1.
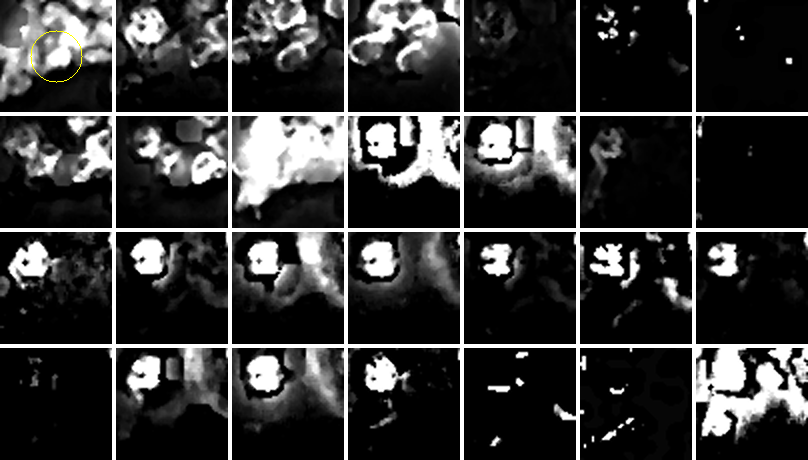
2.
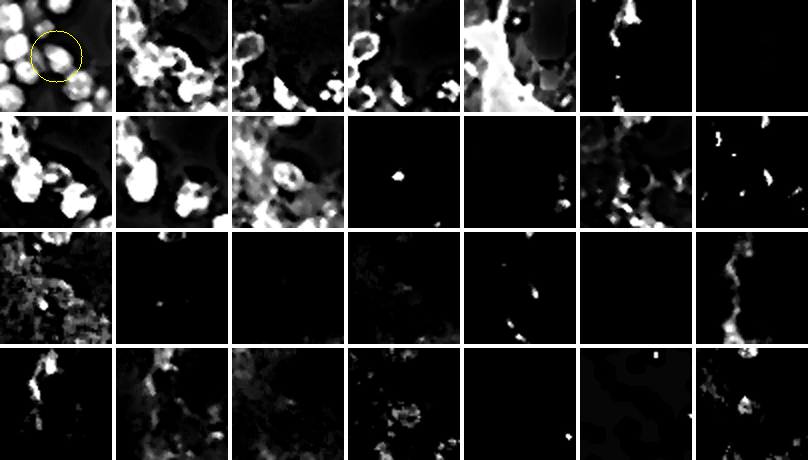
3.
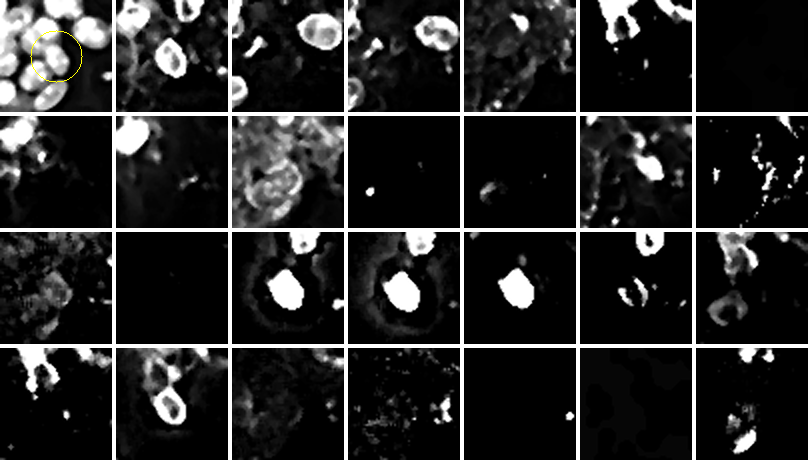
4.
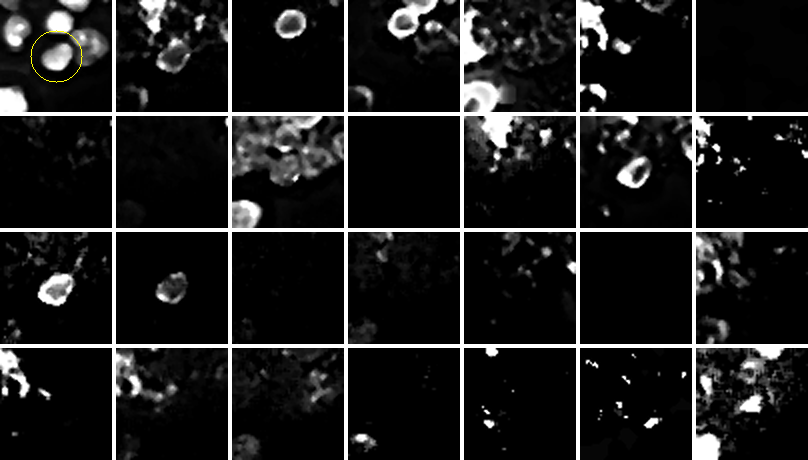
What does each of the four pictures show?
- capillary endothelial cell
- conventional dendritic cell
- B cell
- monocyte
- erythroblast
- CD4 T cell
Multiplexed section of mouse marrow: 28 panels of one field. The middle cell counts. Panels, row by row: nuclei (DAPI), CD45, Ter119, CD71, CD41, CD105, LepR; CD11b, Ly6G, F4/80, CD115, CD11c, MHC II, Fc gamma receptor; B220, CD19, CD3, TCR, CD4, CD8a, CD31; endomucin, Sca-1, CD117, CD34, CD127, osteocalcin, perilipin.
1: erythroblast
2: monocyte
3: CD4 T cell
4: B cell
